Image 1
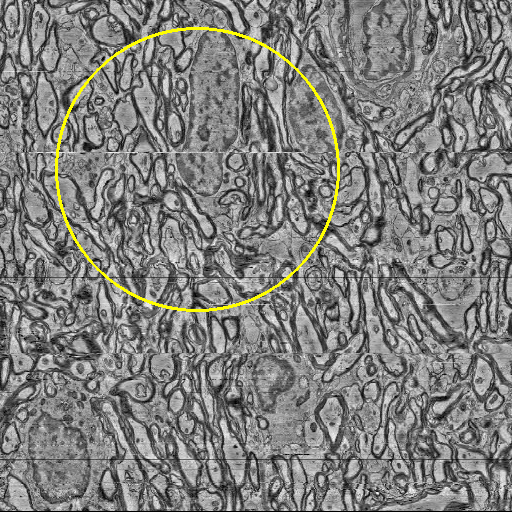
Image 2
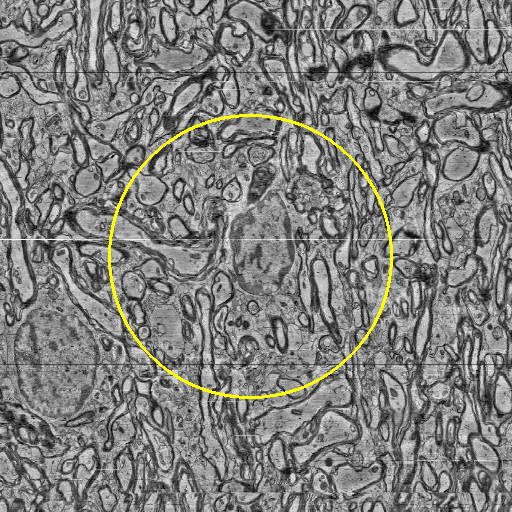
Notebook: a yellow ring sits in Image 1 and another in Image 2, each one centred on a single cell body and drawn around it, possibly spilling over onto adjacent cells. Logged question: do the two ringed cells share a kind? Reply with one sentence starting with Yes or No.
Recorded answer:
Yes, both centre cells inside the rings of Image 1 and Image 2 share one kind.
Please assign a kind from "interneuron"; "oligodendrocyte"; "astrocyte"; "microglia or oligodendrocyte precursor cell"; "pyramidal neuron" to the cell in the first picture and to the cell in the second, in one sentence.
Both the first and the second picture show a microglial cell or oligodendrocyte precursor cell in the ring.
